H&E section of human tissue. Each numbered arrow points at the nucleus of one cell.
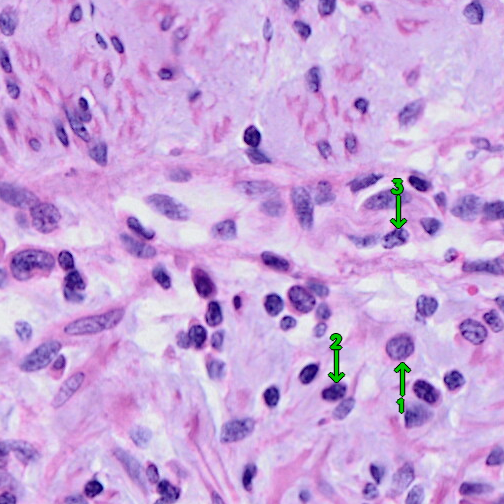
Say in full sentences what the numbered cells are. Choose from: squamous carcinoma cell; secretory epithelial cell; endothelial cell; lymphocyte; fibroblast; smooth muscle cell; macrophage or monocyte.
Cell 1 is a macrophage or monocyte. Cells 2 and 3 are lymphocytes.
